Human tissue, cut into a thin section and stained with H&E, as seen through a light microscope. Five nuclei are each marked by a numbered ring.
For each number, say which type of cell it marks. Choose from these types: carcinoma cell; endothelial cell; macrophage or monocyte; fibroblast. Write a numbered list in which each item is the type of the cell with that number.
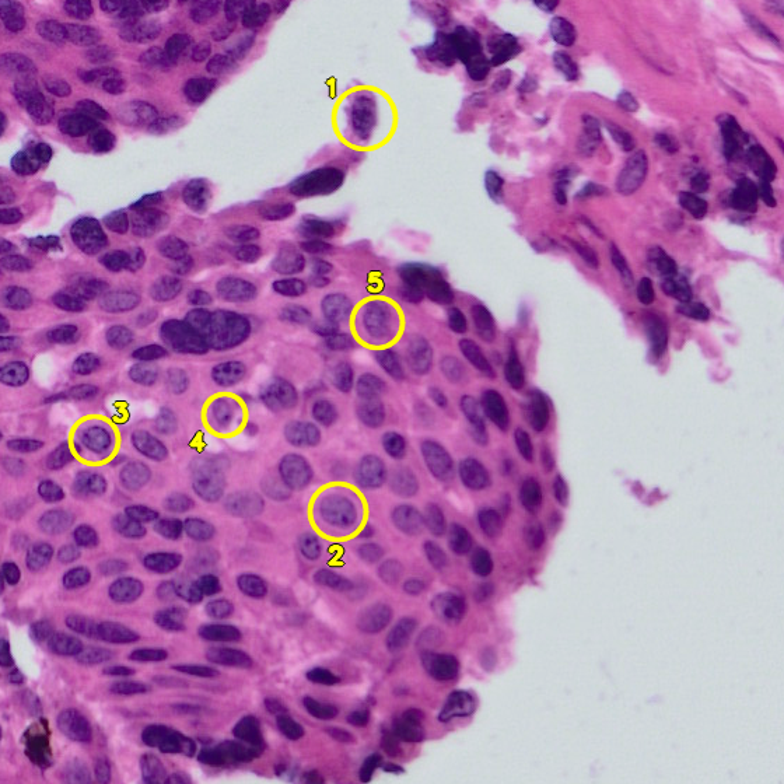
1. macrophage or monocyte
2. carcinoma cell
3. macrophage or monocyte
4. macrophage or monocyte
5. carcinoma cell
